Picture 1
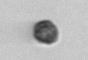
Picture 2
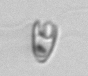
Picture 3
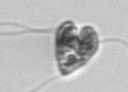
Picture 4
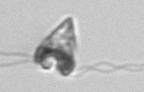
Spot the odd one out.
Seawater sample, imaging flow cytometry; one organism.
Picture 1 (Gephyrocapsa huxleyi among Pyramimonas).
